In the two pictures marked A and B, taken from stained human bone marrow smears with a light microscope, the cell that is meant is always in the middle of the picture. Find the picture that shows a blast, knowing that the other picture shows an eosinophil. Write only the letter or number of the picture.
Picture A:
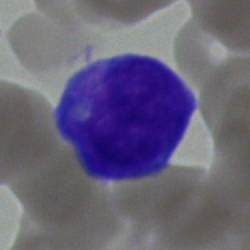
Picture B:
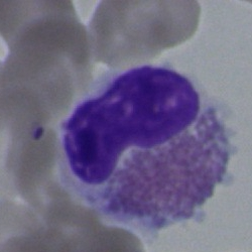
A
